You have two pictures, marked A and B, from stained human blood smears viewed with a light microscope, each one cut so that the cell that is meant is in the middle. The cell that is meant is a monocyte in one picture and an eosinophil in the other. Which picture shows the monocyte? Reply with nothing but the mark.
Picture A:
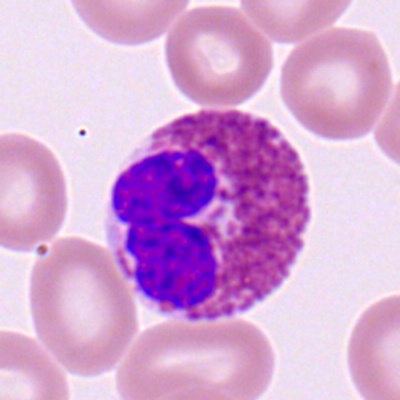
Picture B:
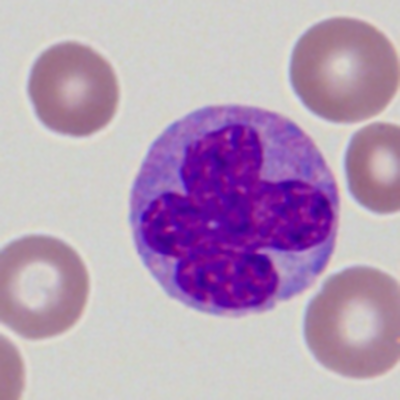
B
